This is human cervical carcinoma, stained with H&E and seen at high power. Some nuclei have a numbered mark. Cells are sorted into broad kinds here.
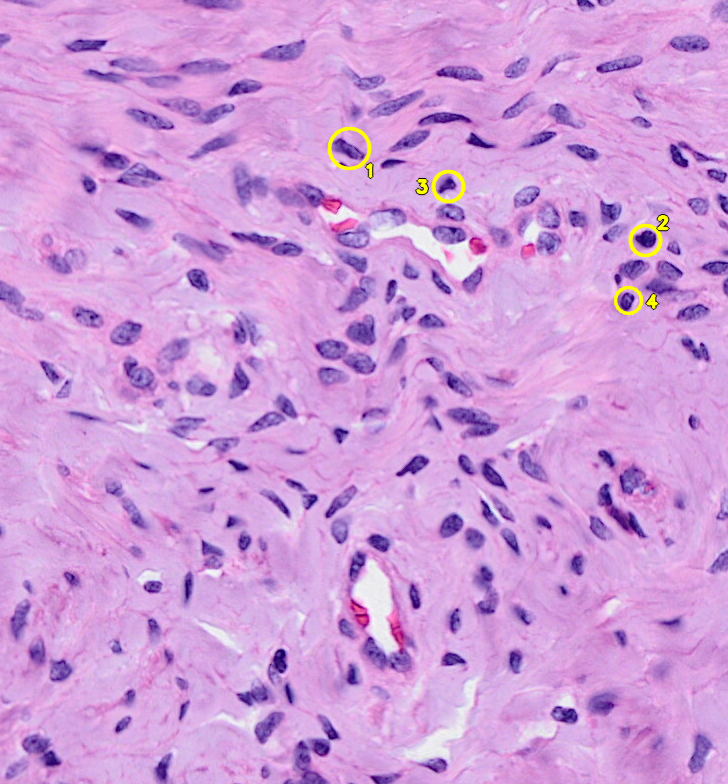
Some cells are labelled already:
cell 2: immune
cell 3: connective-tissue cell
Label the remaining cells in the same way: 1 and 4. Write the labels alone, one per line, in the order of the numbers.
connective-tissue cell
connective-tissue cell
